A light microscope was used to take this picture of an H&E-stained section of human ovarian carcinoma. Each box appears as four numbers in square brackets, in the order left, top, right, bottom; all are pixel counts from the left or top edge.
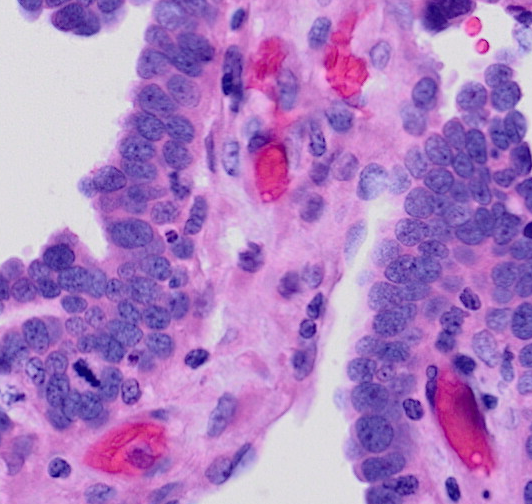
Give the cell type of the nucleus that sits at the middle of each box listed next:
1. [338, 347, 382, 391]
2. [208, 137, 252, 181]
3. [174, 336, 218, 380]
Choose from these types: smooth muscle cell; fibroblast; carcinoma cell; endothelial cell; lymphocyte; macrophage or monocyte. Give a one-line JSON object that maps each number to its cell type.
{"1": "carcinoma cell", "2": "fibroblast", "3": "lymphocyte"}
